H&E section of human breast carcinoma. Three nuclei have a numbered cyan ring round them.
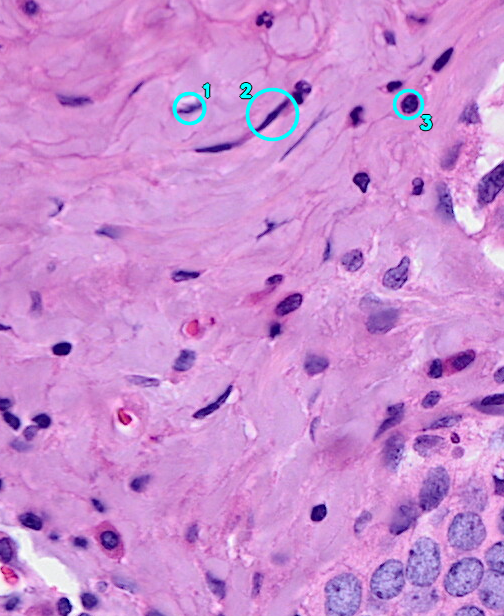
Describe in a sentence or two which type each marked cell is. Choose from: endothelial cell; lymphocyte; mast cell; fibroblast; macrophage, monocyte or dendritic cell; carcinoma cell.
Cell 1 is a fibroblast, cell 2 is a fibroblast and cell 3 is a mast cell.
